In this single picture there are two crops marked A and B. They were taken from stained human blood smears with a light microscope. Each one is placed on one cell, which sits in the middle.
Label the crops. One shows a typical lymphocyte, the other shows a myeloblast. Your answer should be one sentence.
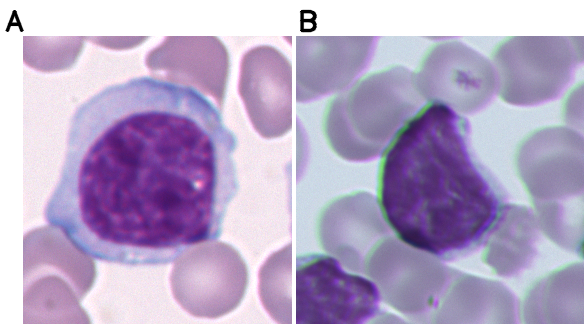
Crop A is a myeloblast, and, separately, crop B is a typical lymphocyte.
